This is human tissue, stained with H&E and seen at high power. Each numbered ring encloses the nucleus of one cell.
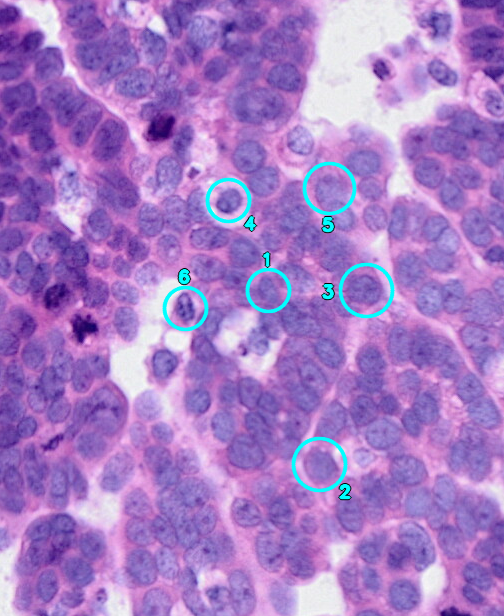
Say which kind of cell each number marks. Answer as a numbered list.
1. carcinoma cell
2. carcinoma cell
3. carcinoma cell
4. macrophage or monocyte
5. carcinoma cell
6. macrophage or monocyte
